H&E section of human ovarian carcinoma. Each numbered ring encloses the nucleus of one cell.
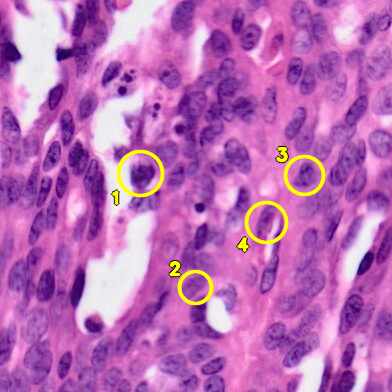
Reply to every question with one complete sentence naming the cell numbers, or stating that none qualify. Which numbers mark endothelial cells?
Among all the marked cells, an endothelial cell is found only at number 4.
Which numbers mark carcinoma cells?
The numbers 1 and 2 refer to cells that are carcinoma cells.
